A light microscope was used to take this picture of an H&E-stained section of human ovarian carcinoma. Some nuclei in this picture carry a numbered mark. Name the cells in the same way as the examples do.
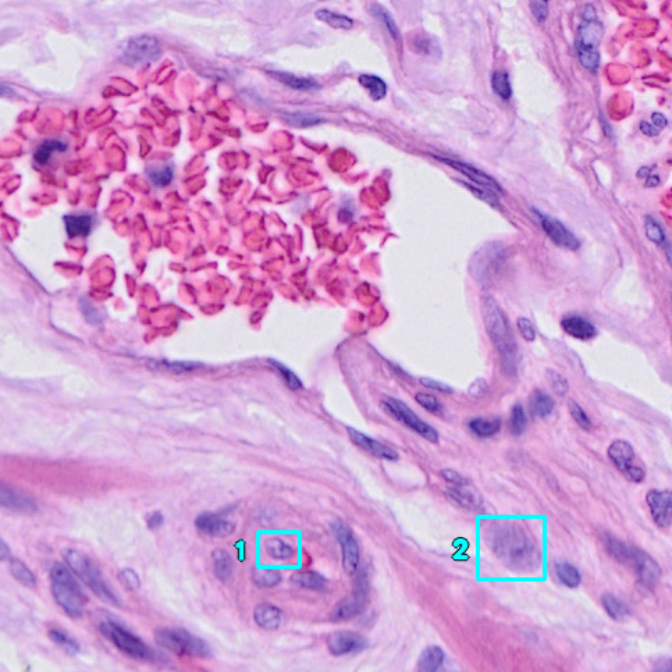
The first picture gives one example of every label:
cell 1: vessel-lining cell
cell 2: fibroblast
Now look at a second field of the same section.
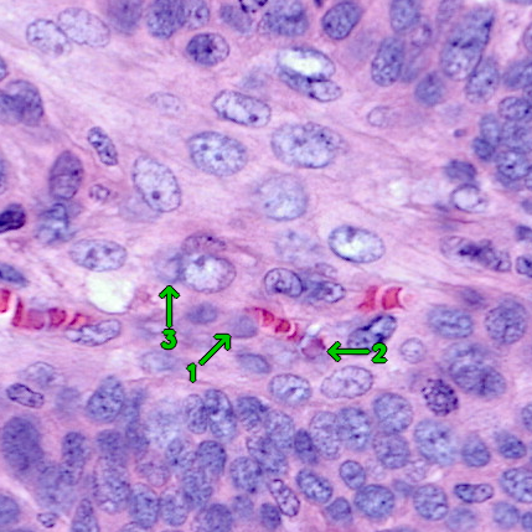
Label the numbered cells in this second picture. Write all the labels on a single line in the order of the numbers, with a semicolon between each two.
vessel-lining cell; vessel-lining cell; fibroblast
